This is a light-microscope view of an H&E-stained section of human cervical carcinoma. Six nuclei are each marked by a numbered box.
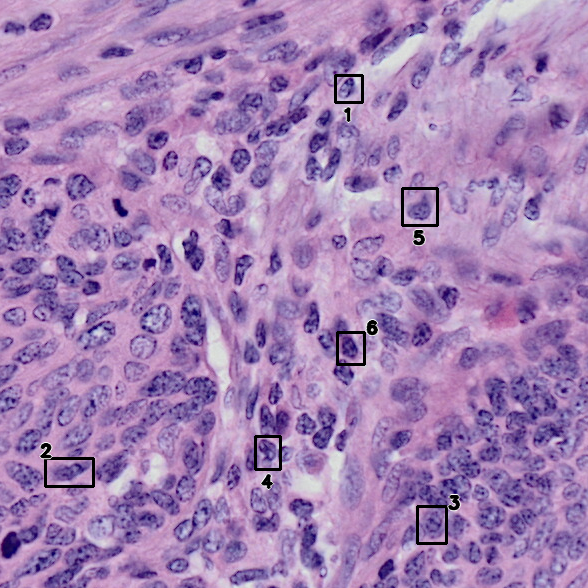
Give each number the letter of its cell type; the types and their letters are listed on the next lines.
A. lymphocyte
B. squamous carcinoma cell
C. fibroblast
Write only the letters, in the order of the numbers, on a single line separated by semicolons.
A; B; B; A; A; A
